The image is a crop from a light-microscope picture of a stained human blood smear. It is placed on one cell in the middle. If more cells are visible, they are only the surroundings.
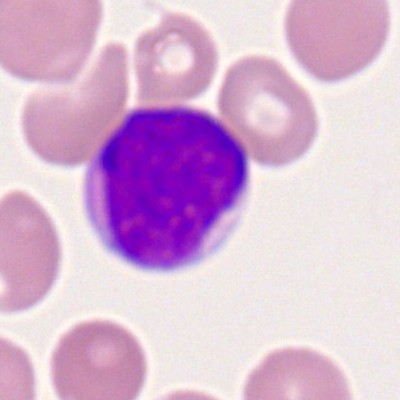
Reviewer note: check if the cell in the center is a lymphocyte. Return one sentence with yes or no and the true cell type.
No, the cell found centrally in the crop is a myeloblast, not a lymphocyte.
